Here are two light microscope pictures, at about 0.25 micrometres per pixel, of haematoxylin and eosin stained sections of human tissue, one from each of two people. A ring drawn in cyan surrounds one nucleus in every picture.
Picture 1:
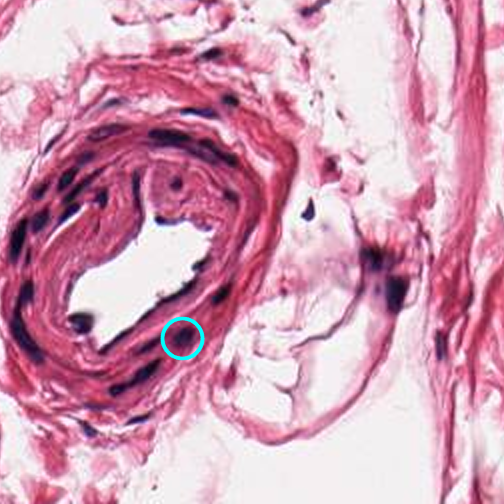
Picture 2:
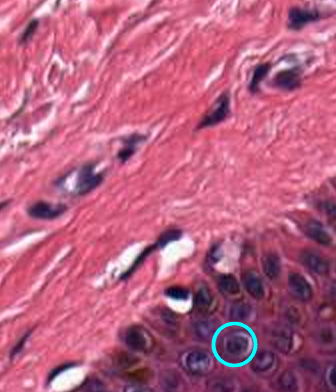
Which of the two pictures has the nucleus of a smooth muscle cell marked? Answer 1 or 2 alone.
1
